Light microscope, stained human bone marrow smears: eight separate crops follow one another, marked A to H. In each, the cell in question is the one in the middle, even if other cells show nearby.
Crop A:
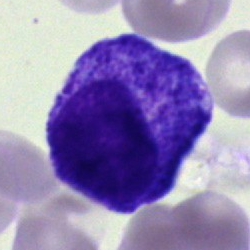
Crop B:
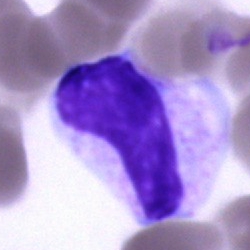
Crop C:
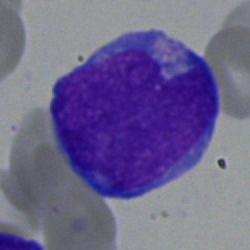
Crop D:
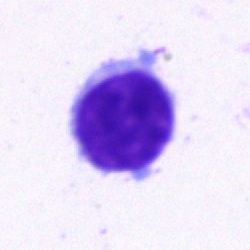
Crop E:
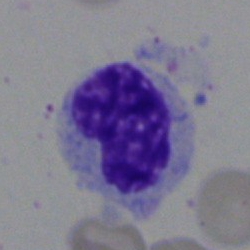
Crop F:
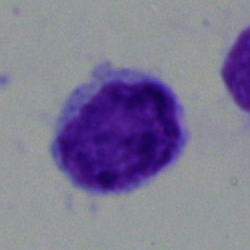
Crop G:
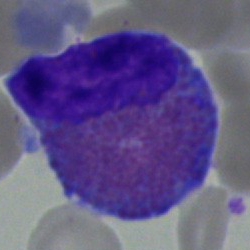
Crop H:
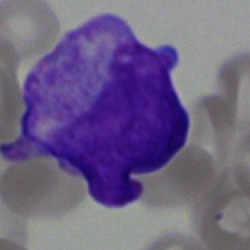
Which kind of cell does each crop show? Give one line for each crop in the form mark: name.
A: promyelocyte
B: band neutrophil
C: blast
D: lymphocyte
E: metamyelocyte
F: hairy cell
G: eosinophil
H: blast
